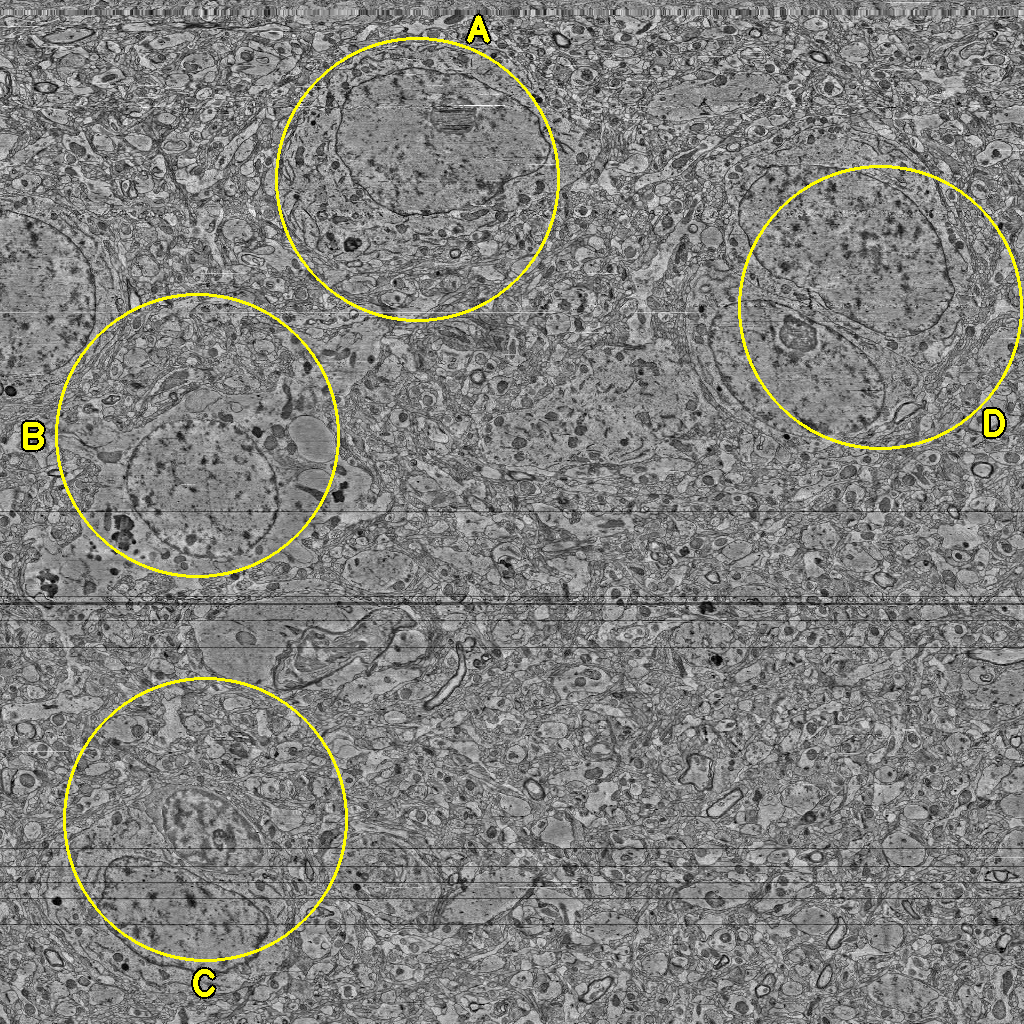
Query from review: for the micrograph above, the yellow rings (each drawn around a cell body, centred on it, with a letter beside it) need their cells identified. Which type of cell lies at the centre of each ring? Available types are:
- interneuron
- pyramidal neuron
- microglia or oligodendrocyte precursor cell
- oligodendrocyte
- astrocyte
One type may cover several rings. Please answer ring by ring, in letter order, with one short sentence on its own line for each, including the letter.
Ring A is drawn around a pyramidal neuron.
Ring B is drawn around an astrocyte.
Ring C is drawn around an oligodendrocyte.
Ring D is drawn around a pyramidal neuron.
